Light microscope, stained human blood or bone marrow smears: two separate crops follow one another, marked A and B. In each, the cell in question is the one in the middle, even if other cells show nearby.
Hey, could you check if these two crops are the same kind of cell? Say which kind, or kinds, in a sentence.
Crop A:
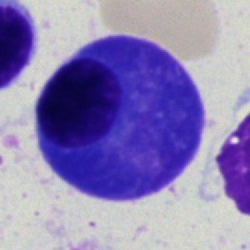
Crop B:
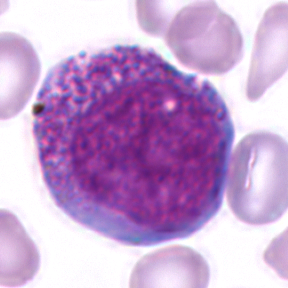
No, the correct reading is a plasma cell in crop A and a promyelocyte in crop B.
